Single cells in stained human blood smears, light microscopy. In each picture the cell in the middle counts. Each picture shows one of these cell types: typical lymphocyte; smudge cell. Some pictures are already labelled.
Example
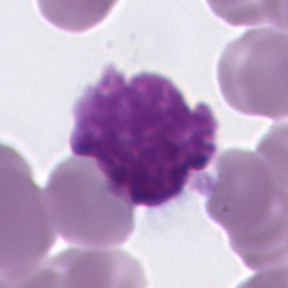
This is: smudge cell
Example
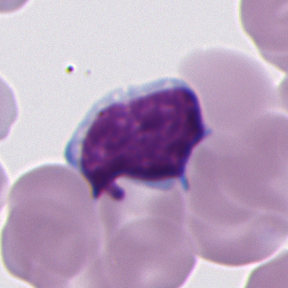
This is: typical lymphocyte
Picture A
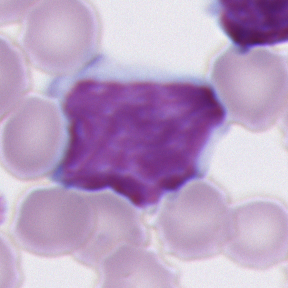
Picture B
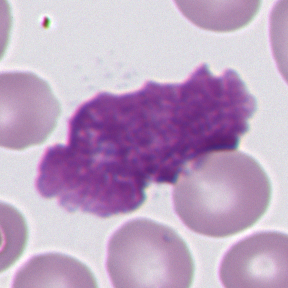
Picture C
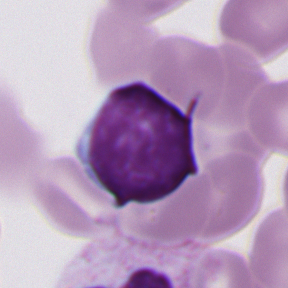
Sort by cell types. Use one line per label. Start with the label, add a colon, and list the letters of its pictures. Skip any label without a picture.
typical lymphocyte: A, C
smudge cell: B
